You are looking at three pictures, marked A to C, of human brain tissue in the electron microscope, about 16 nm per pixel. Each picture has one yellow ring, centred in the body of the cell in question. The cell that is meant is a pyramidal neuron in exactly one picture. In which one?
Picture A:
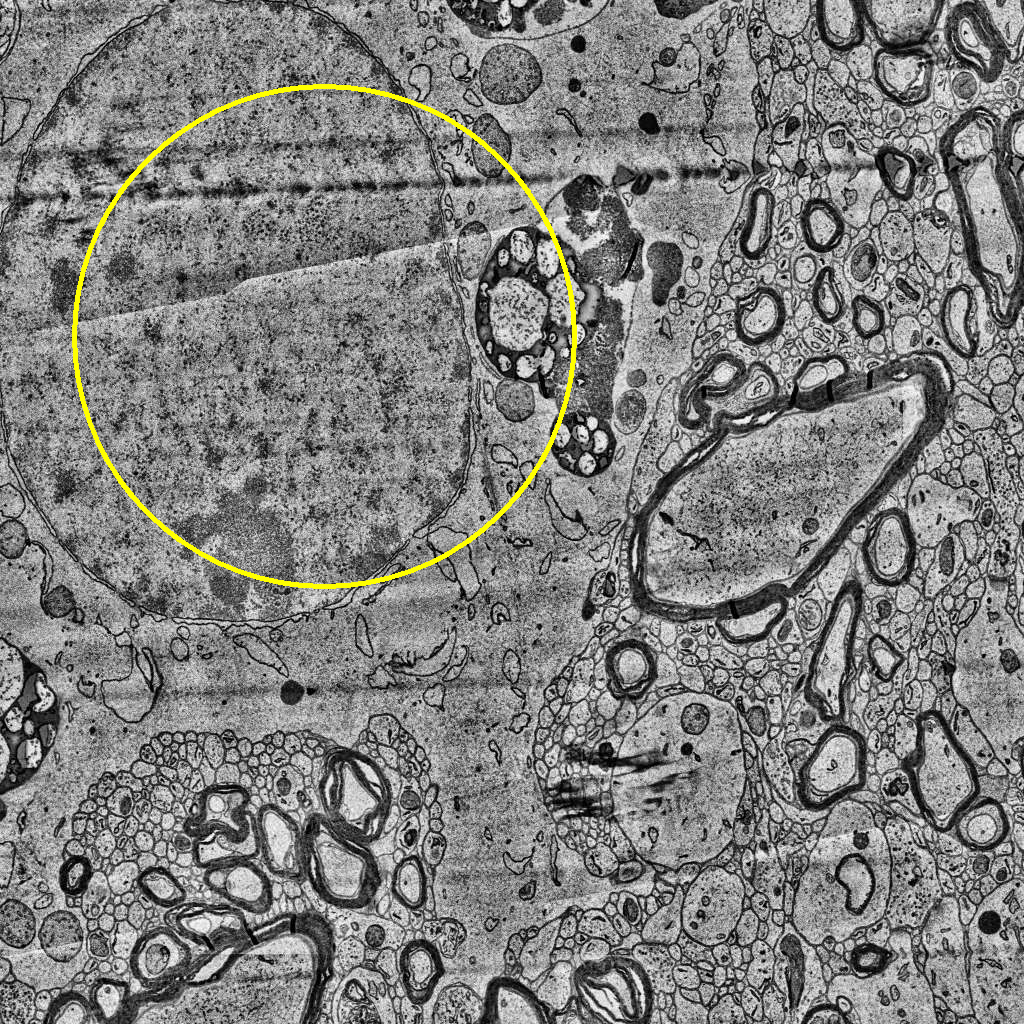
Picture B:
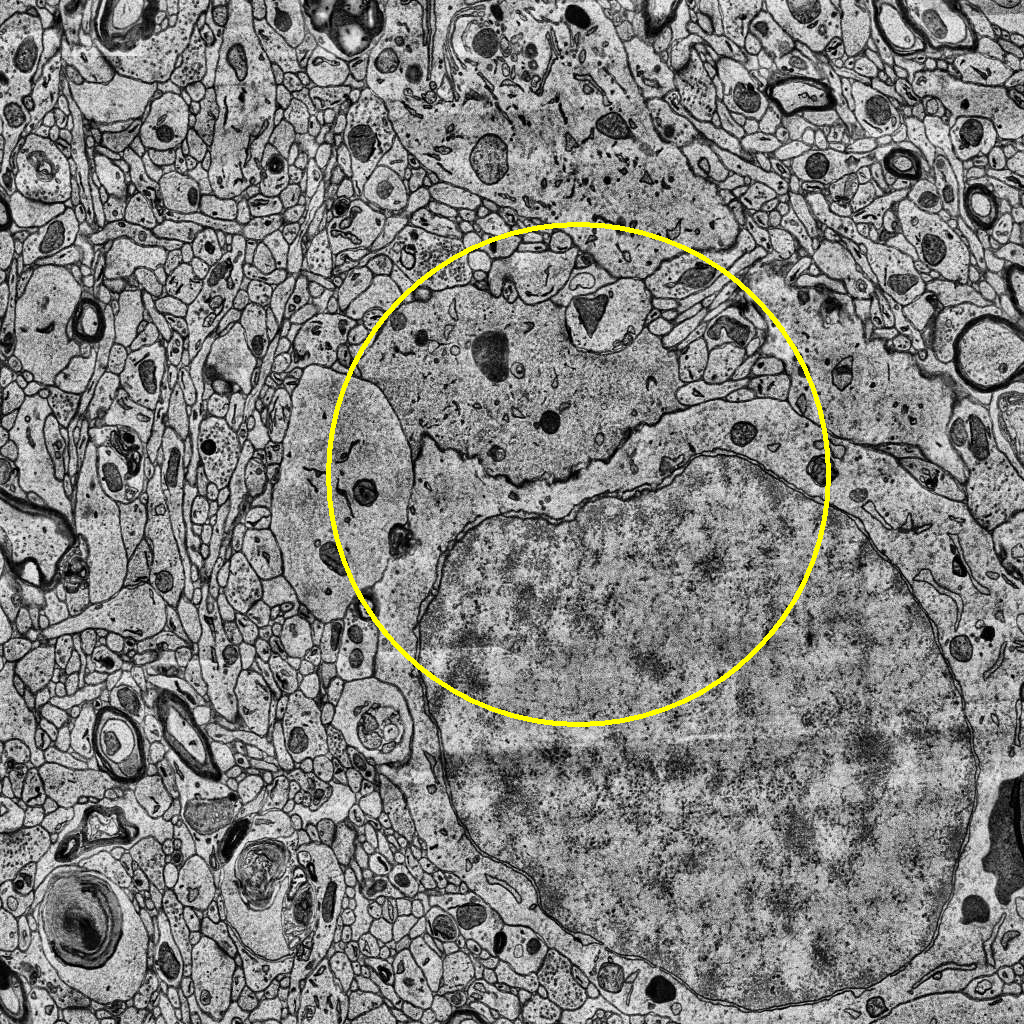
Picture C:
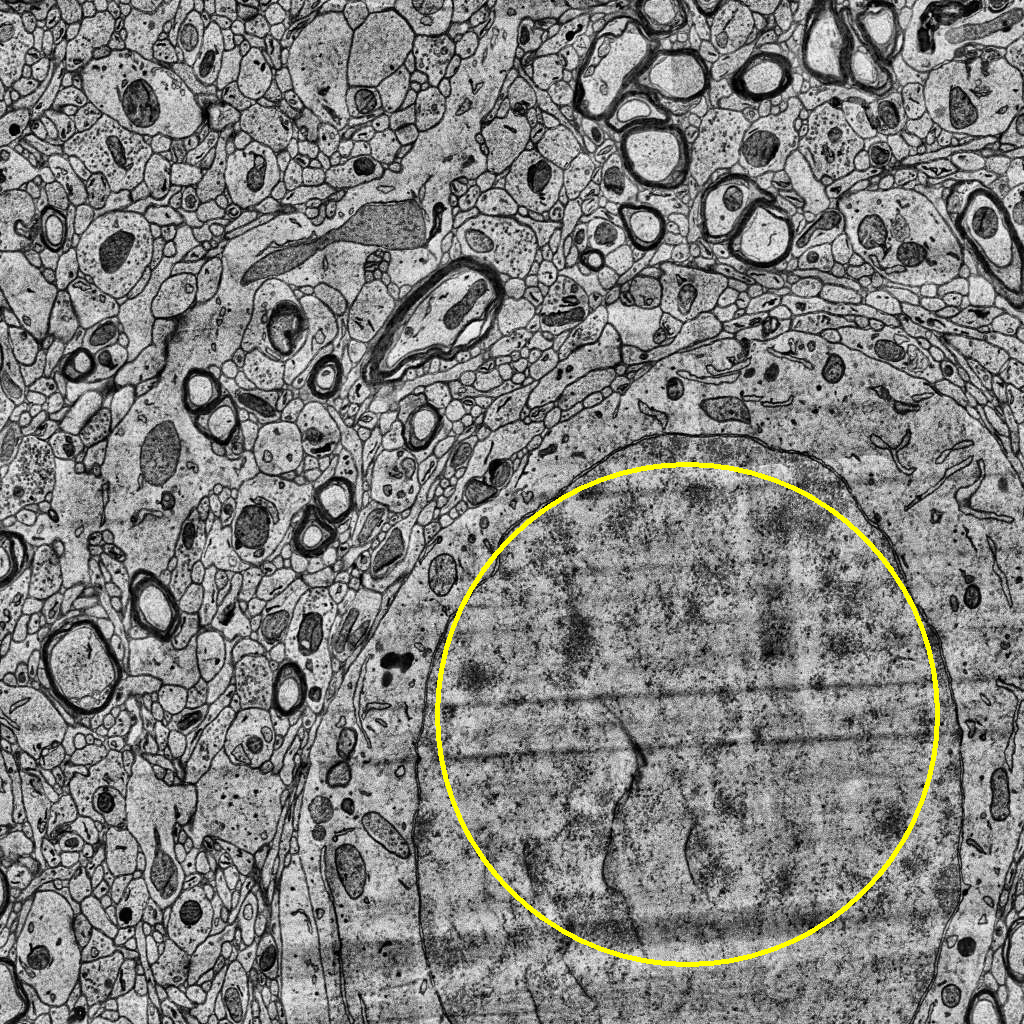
Picture C shows the pyramidal neuron.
